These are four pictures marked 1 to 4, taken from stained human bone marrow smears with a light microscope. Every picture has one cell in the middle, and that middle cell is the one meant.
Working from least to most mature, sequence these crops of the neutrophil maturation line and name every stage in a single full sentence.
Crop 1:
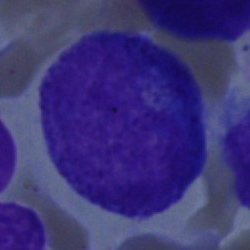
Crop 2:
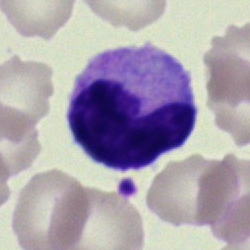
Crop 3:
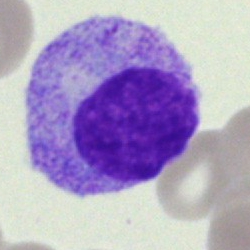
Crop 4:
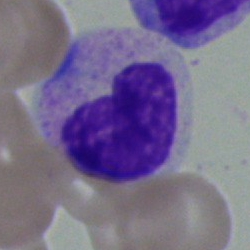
The maturation order, from least to most mature, is crop 1 (a promyelocyte), crop 3 (a myelocyte), crop 4 (a metamyelocyte) and crop 2 (a band neutrophil).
